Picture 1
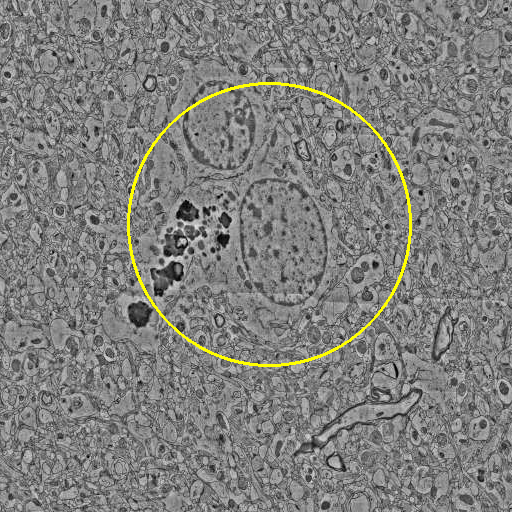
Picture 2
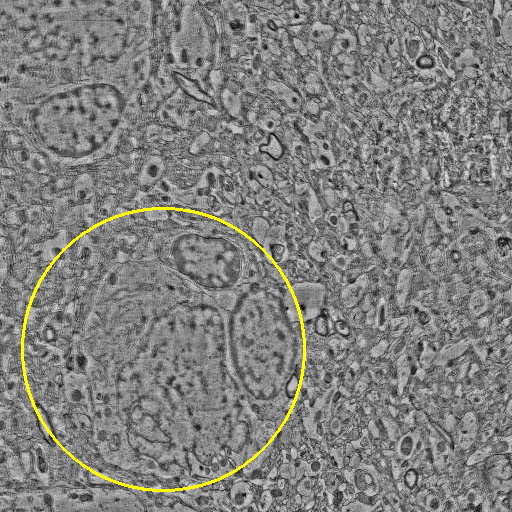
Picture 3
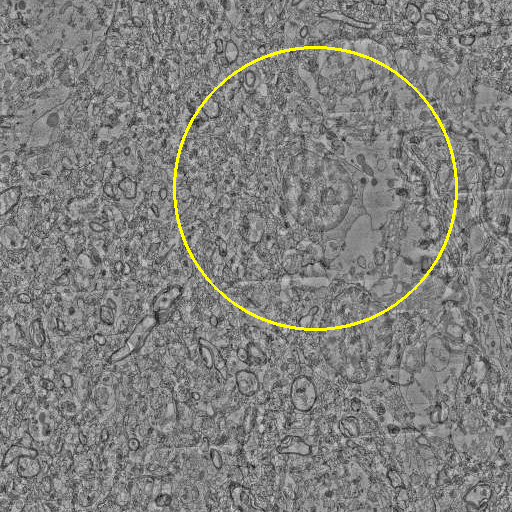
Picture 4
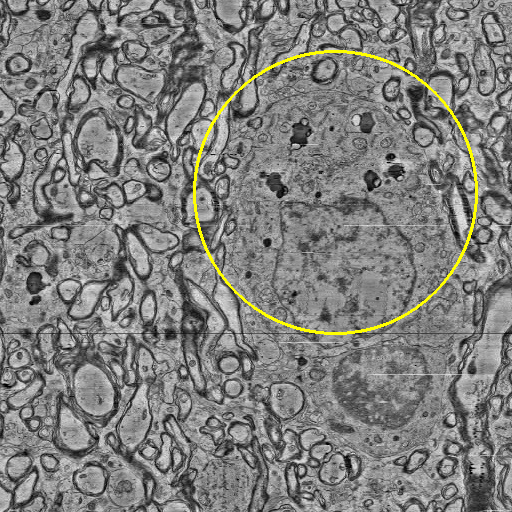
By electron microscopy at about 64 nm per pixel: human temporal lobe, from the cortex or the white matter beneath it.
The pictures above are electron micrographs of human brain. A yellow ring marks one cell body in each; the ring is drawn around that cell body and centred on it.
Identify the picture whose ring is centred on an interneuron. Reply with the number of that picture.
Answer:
2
